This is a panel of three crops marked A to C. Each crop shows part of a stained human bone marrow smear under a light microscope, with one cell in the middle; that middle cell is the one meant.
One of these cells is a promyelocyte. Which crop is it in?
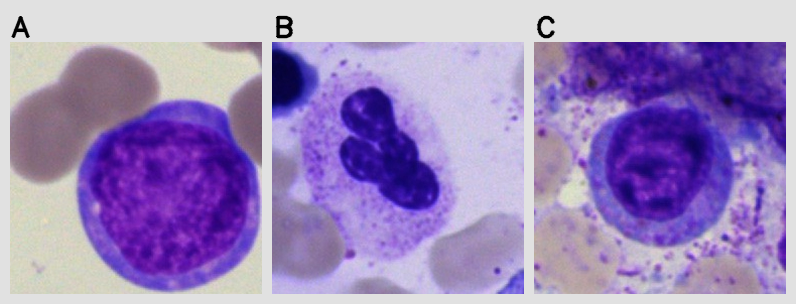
C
